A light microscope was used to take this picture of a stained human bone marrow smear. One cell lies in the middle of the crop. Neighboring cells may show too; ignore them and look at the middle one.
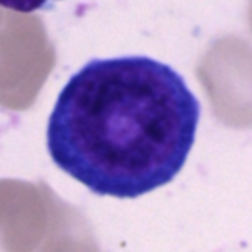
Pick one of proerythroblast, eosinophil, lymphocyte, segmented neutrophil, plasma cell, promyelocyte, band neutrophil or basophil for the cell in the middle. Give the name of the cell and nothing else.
proerythroblast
